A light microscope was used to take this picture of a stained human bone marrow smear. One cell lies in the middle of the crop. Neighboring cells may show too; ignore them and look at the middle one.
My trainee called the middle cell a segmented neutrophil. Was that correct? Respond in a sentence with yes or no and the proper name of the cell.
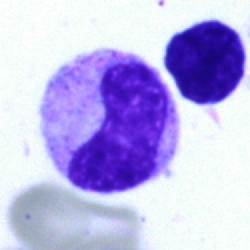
No, the correct answer for the middle cell is a band neutrophil, not a segmented neutrophil.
